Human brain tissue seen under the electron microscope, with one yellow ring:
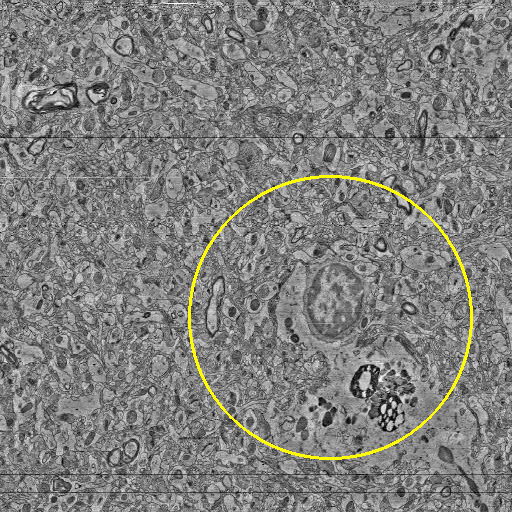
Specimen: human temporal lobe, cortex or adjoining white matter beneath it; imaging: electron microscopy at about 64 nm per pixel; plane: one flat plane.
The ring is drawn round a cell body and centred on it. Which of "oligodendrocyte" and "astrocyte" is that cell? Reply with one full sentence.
The picture shows an oligodendrocyte at the very centre of the yellow ring.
